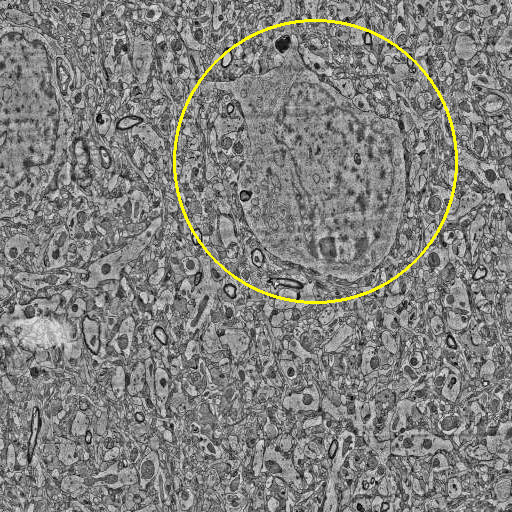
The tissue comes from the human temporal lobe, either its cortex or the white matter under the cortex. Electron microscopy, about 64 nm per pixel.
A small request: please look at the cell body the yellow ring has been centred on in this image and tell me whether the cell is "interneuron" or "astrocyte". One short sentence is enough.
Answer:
The cell marked by the ring is an interneuron.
